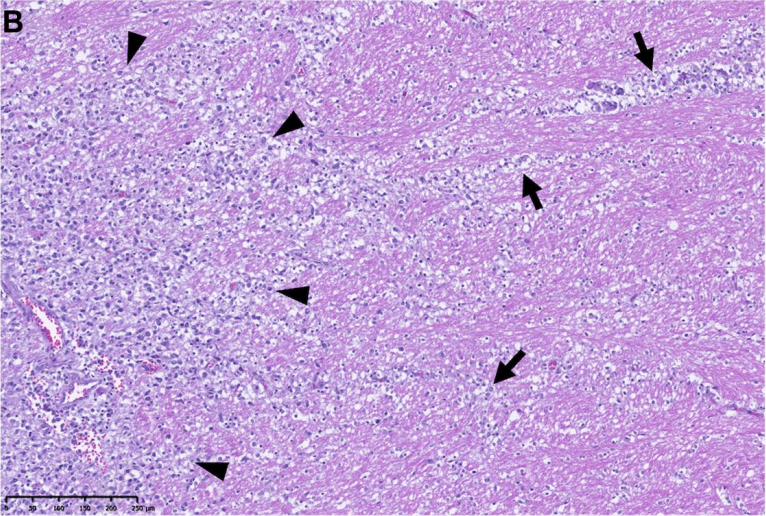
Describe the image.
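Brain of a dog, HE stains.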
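The left part of the field is a densely cellular tumor mass made of crowded round nuclei, with a blood vessel containing red blood cells at the lower left. To the right lie pink bundles of white matter fibres running in different directions. Along and between these fibre bundles run rows and strings of round nuclei, spreading out from the cellular mass into the surrounding tissue.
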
